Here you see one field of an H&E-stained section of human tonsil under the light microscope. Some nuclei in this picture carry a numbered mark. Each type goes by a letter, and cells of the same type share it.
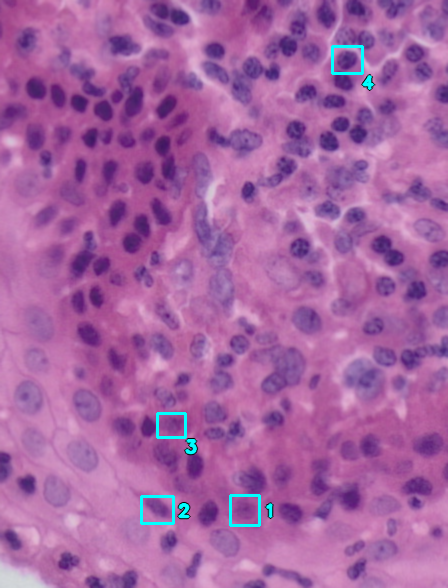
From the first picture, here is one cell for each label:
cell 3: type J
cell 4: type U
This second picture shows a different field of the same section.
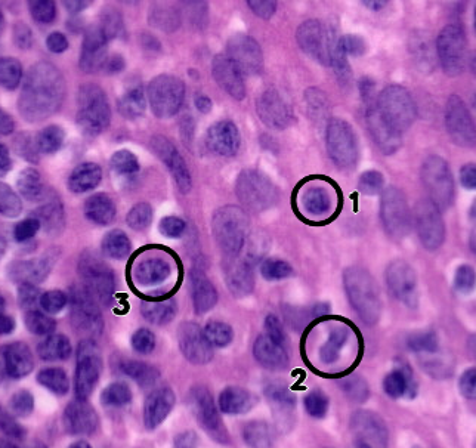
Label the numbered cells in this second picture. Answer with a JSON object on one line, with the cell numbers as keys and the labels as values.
{"1": "type J", "2": "type J", "3": "type U"}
